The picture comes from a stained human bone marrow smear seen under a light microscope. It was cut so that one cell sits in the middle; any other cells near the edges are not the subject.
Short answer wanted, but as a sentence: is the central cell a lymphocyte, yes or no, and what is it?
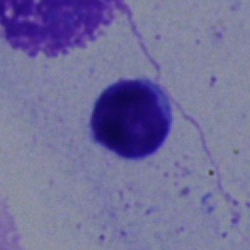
Yes, as regards the cell in the middle, it is a lymphocyte.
